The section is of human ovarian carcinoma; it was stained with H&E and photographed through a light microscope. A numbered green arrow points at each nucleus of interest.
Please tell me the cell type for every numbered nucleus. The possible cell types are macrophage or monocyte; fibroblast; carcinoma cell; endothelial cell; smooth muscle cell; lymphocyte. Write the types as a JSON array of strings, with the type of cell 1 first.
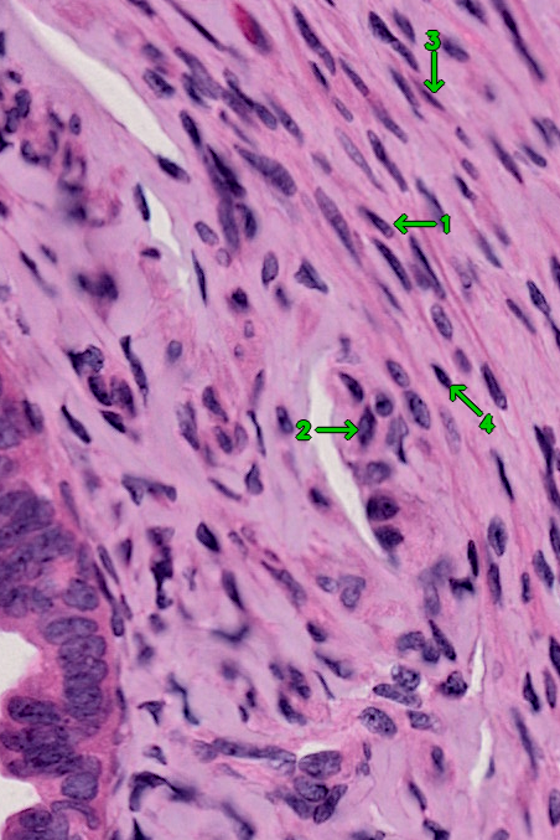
["smooth muscle cell", "endothelial cell", "smooth muscle cell", "smooth muscle cell"]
